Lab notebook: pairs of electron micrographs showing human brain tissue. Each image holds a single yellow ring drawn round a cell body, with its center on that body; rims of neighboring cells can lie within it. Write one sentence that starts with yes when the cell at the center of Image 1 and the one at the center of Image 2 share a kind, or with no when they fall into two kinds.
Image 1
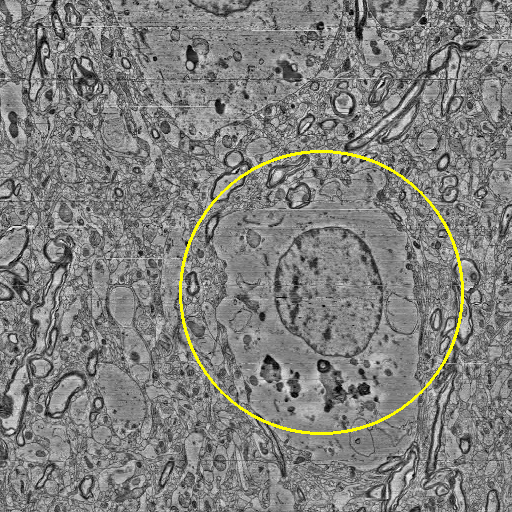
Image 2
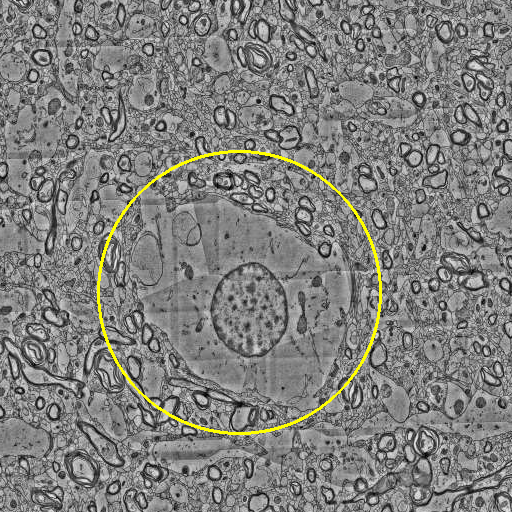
Yes, the centered cell in Image 1 and the centered cell in Image 2 are of one kind.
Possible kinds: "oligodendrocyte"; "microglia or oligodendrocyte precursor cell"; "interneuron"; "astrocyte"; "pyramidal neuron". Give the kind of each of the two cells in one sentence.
The second cell is an astrocyte, just as the first is.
